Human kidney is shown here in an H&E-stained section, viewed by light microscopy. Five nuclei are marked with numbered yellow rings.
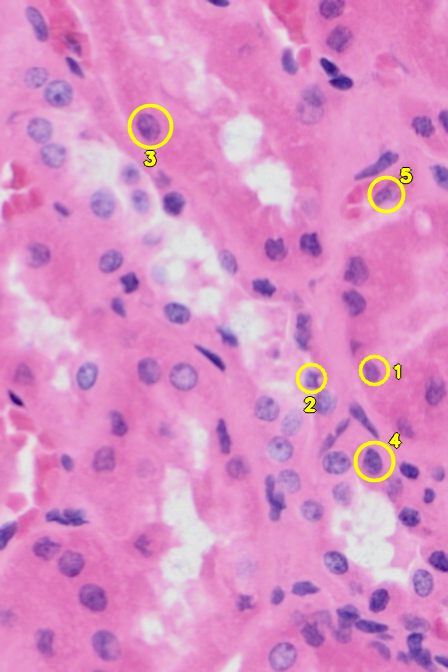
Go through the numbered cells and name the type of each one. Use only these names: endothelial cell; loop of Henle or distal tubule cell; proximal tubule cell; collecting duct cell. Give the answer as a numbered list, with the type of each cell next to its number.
1. proximal tubule cell
2. loop of Henle or distal tubule cell
3. proximal tubule cell
4. loop of Henle or distal tubule cell
5. endothelial cell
